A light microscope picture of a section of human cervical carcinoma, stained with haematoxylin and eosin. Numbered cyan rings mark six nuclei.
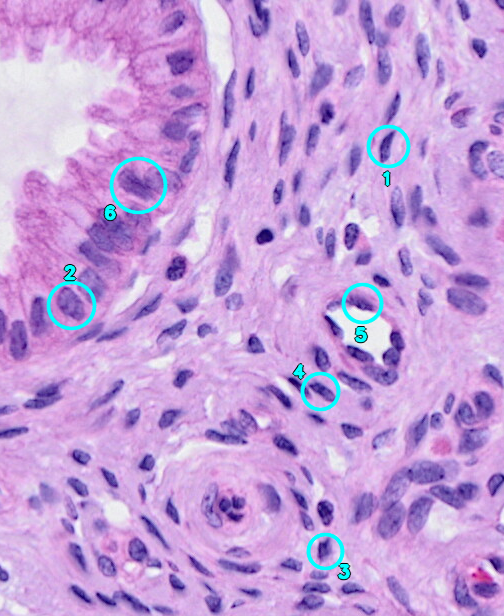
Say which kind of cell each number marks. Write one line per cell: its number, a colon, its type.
1: fibroblast
2: secretory epithelial cell
3: fibroblast
4: fibroblast
5: endothelial cell
6: secretory epithelial cell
